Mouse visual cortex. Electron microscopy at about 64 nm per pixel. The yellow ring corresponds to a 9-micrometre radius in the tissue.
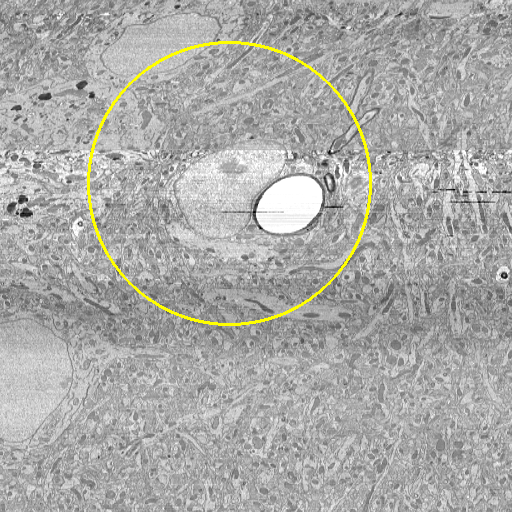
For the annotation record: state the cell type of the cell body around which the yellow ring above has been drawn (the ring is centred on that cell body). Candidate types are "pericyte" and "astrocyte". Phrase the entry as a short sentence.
The ringed cell is an astrocyte.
